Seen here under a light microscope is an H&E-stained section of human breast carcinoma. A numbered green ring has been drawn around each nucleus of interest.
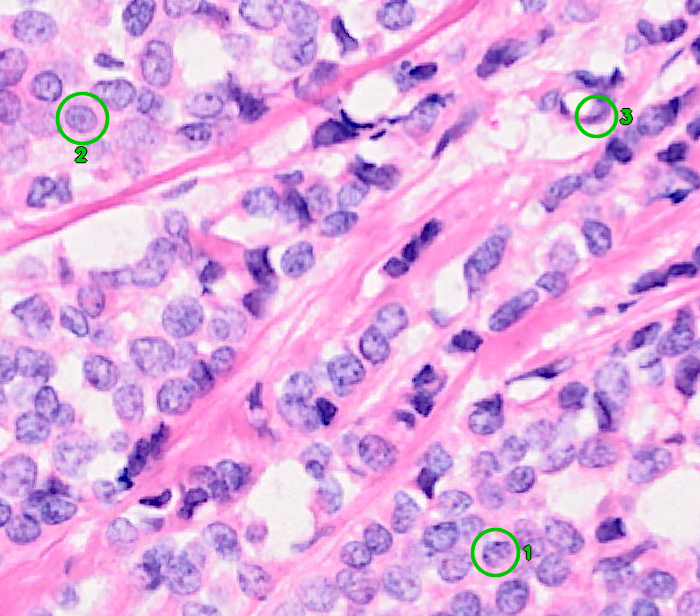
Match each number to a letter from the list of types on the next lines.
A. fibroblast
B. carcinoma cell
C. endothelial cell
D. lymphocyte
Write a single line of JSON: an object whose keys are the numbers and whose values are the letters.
{"1": "B", "2": "B", "3": "C"}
